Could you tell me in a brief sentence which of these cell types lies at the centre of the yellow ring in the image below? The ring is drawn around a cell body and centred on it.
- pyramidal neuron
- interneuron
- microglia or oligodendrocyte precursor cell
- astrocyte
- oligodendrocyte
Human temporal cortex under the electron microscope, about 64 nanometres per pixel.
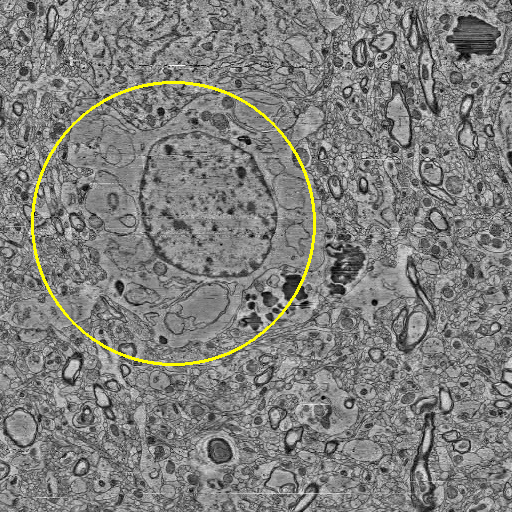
The cell centred in the ring is an astrocyte.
